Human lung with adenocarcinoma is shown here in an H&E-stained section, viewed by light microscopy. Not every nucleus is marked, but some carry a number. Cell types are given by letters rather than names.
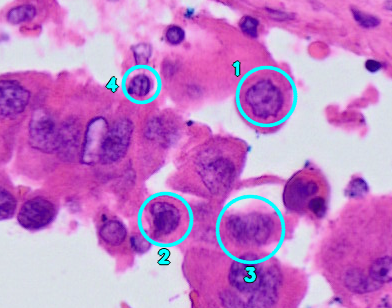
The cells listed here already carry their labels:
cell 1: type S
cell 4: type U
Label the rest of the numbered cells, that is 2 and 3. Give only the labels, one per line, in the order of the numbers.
type S
type S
